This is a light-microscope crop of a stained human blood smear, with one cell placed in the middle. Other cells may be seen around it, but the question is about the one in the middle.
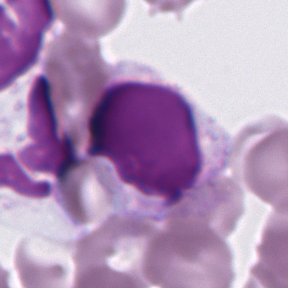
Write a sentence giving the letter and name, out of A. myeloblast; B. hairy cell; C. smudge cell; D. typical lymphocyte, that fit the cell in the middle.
The one cell at the centre is a typical lymphocyte, as correctly stated in option D.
